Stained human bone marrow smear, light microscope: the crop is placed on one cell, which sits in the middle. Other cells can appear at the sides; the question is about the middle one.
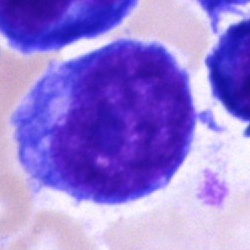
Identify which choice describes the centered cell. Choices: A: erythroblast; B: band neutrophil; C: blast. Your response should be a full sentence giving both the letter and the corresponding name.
Option C is the keyed answer: the cell in the middle is a blast.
